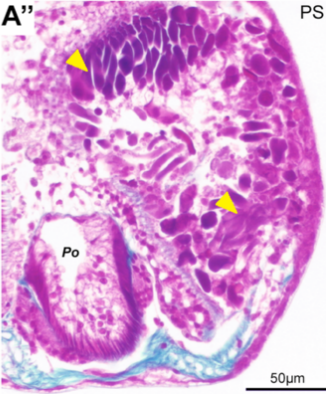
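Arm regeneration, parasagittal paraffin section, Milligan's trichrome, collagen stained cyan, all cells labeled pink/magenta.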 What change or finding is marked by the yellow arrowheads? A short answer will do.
Histolysis.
